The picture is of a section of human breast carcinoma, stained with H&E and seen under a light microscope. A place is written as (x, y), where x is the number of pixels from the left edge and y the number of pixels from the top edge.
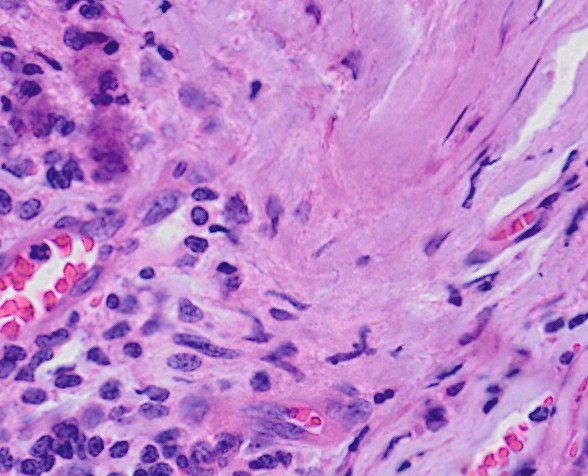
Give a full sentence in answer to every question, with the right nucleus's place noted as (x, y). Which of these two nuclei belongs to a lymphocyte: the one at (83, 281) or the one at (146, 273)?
Belonging to a lymphocyte is the nucleus at (146, 273).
